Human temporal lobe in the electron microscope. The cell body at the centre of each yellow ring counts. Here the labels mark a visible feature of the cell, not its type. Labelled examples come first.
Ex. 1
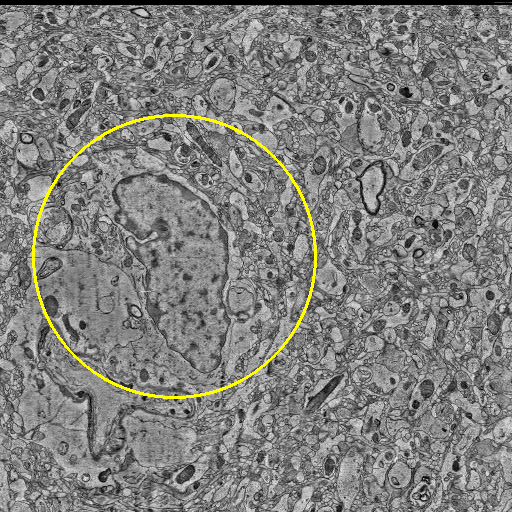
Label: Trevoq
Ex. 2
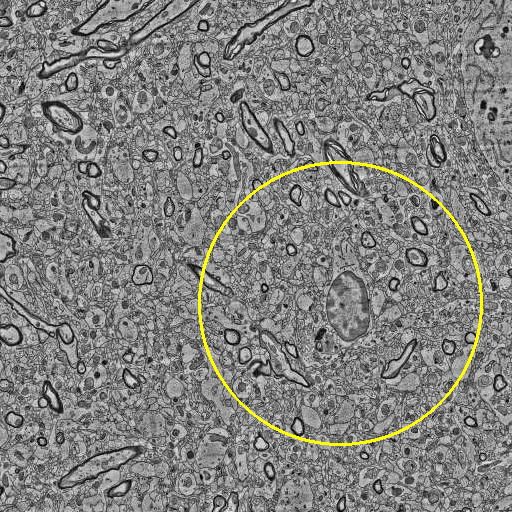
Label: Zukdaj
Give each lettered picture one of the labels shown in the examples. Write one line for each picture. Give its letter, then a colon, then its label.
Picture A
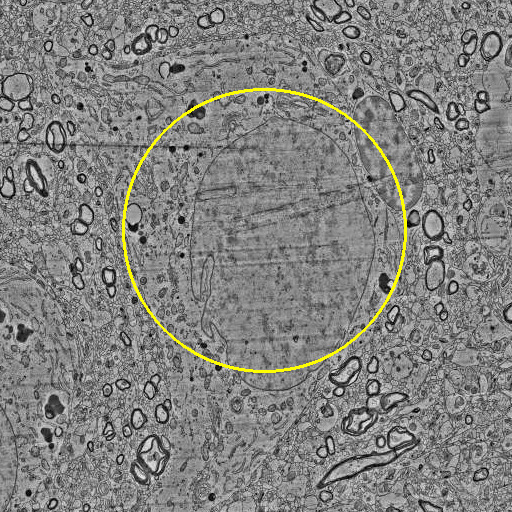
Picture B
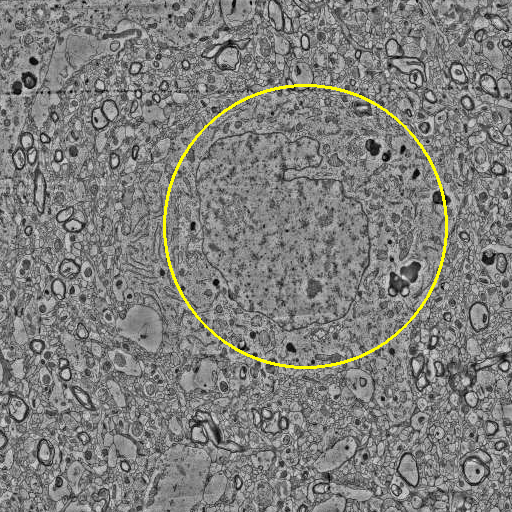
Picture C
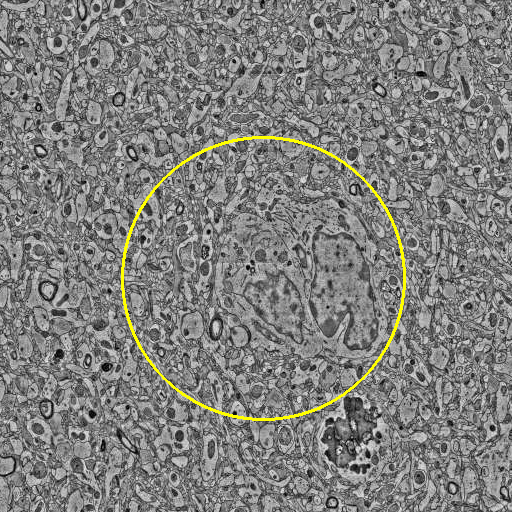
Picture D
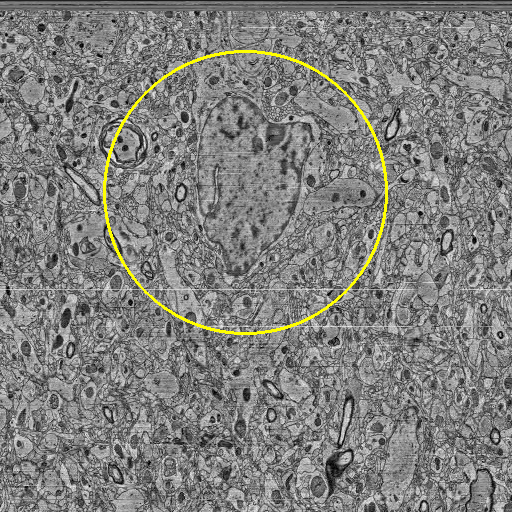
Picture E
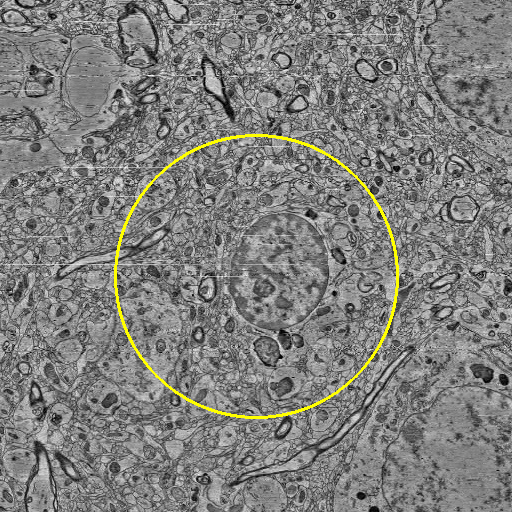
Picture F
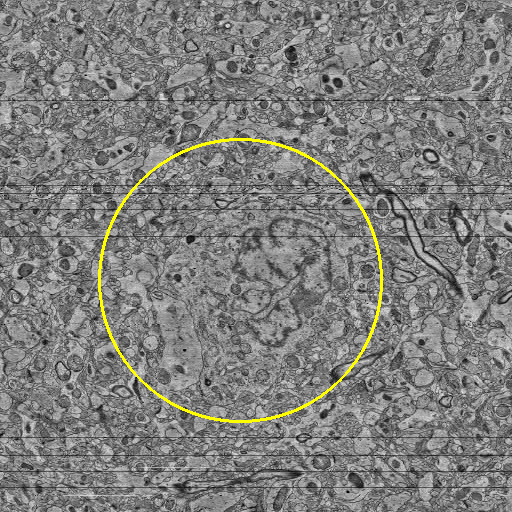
A: Trevoq
B: Trevoq
C: Trevoq
D: Trevoq
E: Zukdaj
F: Trevoq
